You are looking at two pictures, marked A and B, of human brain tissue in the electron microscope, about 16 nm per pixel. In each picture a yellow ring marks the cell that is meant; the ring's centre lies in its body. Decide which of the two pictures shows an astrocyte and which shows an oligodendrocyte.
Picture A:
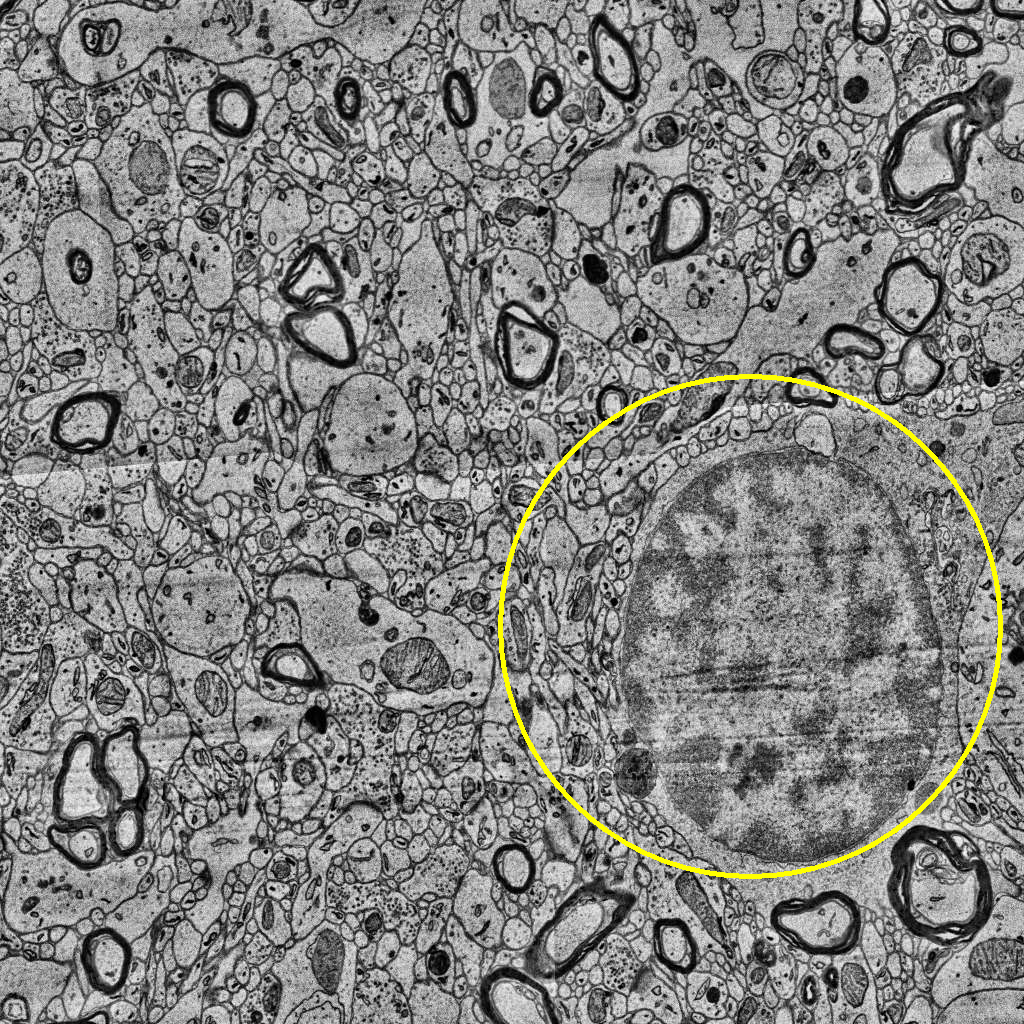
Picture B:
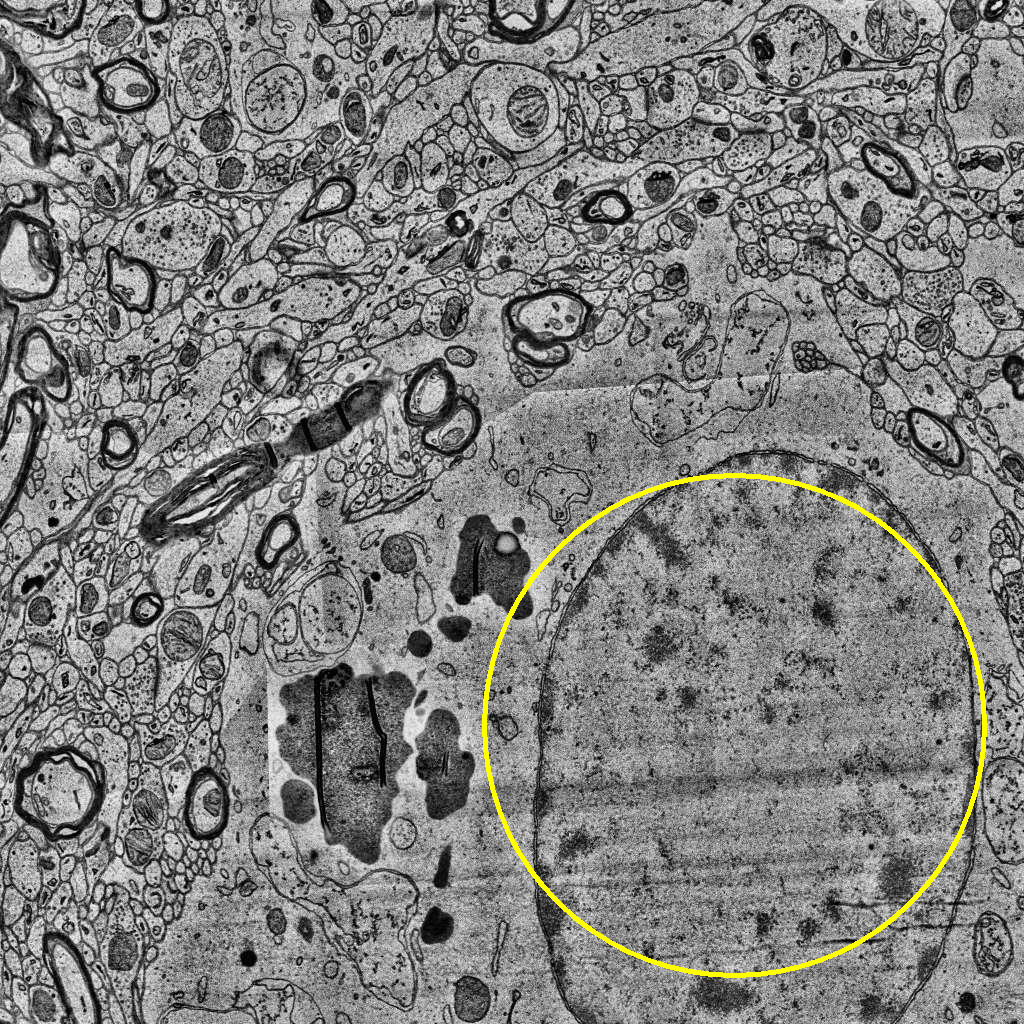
The cell in picture A is an oligodendrocyte, and the one in picture B is an astrocyte.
